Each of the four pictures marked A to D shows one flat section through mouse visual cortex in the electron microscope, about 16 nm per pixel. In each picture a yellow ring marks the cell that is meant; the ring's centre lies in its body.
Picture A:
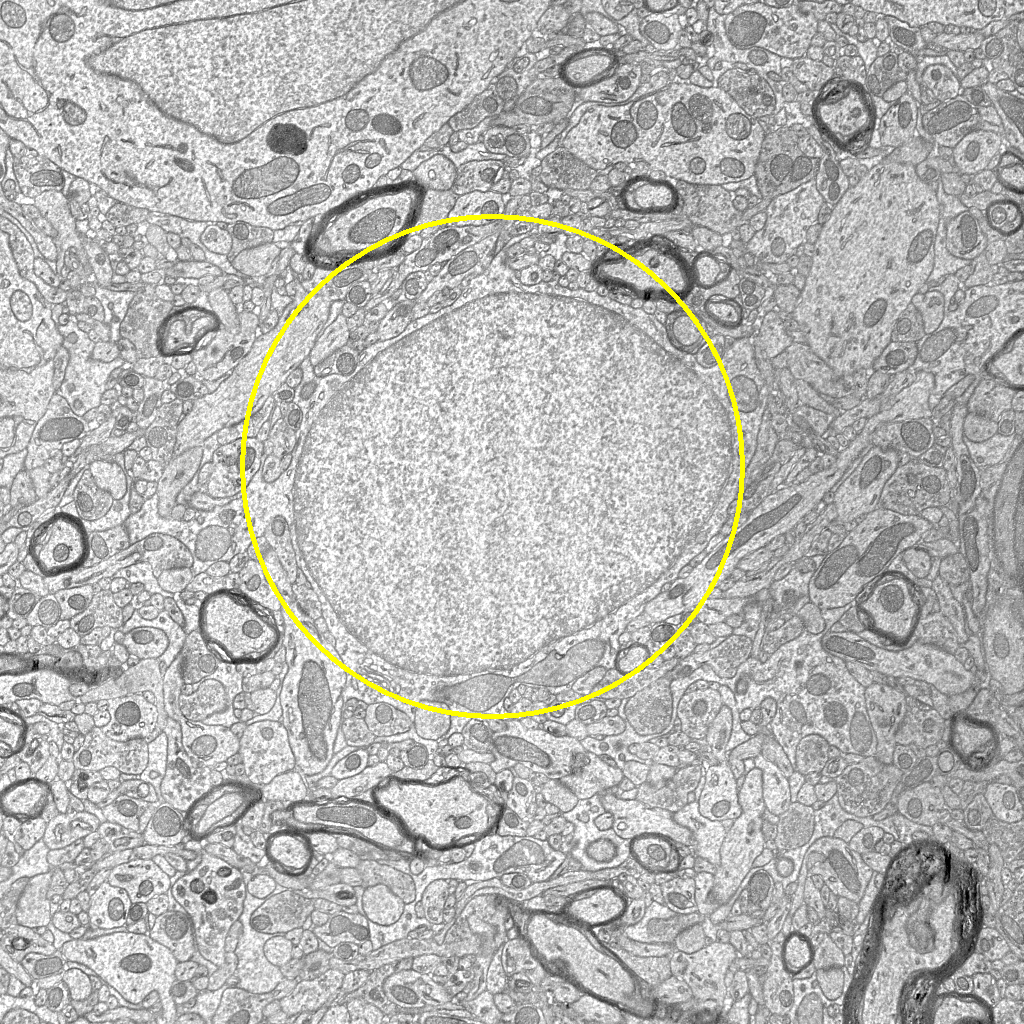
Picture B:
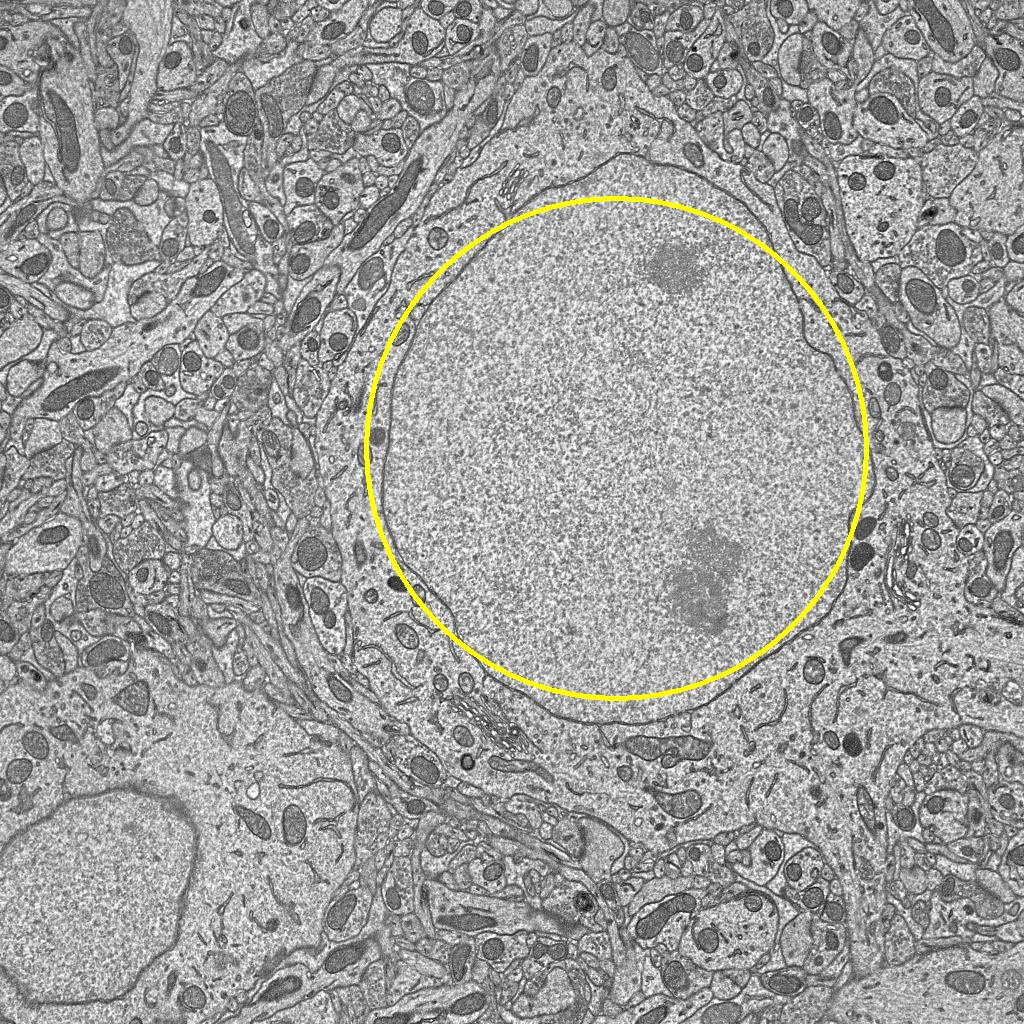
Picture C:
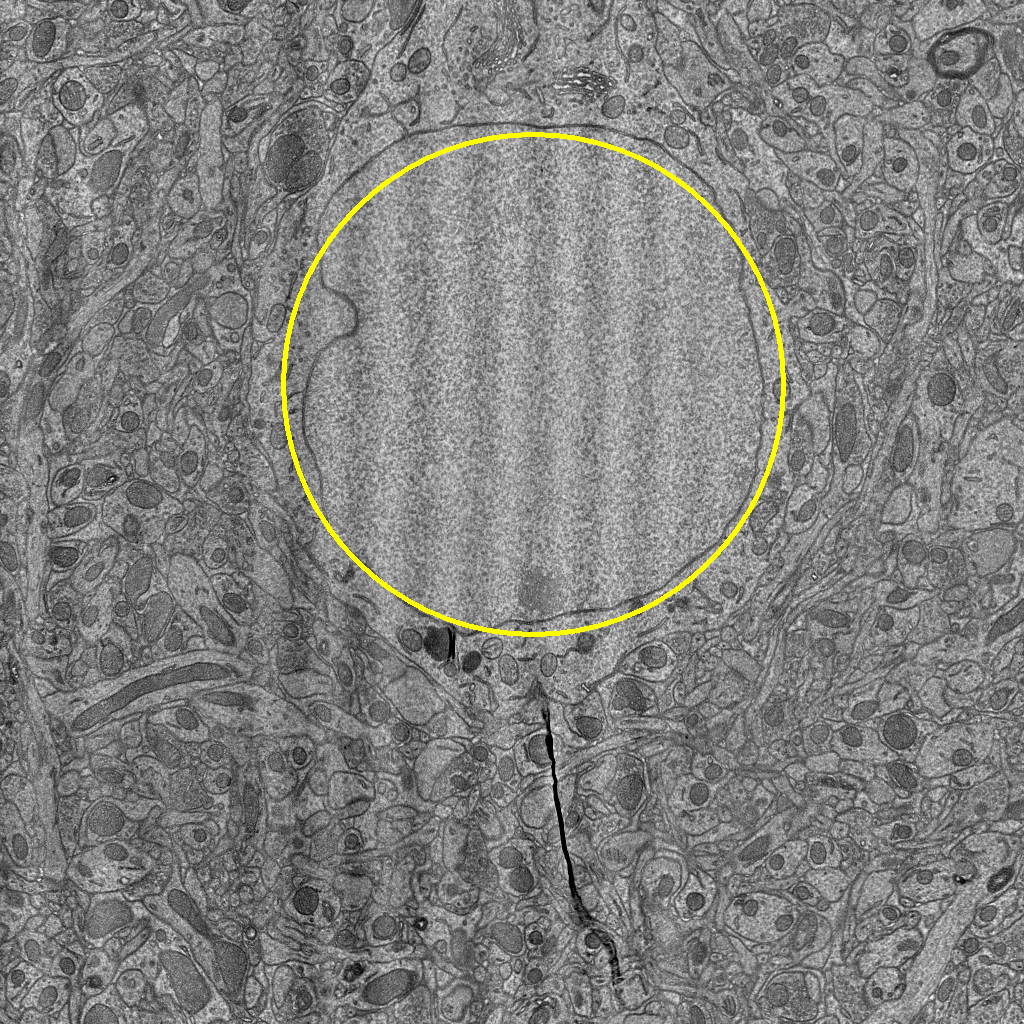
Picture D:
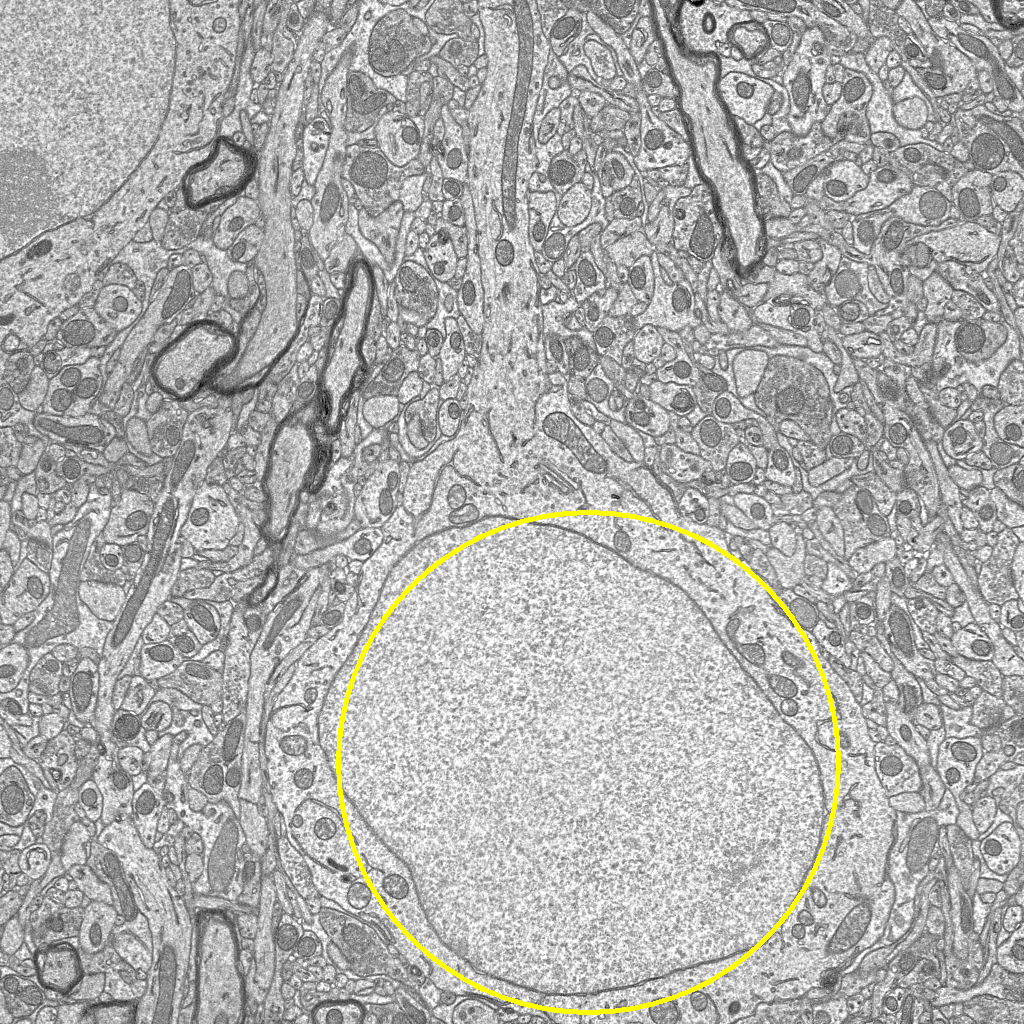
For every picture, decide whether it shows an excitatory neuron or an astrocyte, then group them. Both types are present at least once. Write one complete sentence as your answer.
Pictures B, C and D show excitatory neurons, and picture A shows an astrocyte.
